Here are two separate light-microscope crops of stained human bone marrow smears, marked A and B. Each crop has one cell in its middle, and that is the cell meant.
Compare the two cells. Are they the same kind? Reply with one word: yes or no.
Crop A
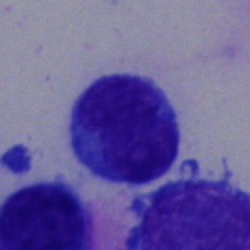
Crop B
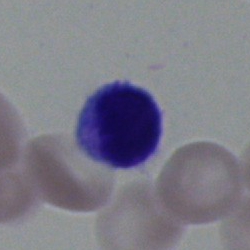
yes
